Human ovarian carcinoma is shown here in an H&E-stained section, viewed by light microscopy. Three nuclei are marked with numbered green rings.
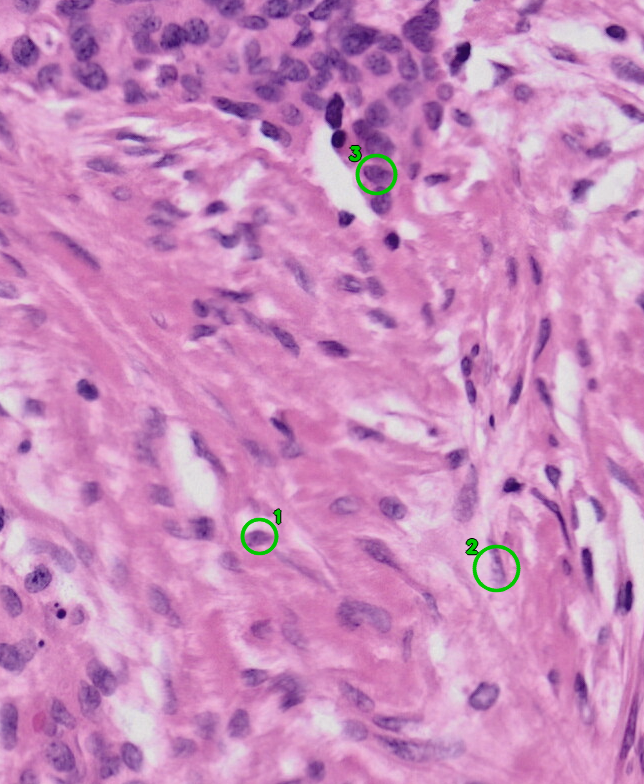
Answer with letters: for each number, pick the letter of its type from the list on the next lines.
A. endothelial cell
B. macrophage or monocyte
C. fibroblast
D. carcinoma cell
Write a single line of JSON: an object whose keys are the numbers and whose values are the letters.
{"1": "C", "2": "C", "3": "D"}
